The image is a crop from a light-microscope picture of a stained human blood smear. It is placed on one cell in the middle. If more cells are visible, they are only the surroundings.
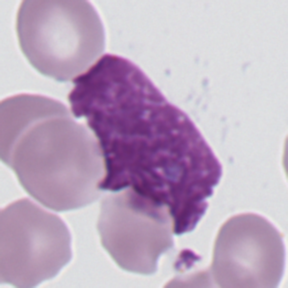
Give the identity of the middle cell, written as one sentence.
Where the crop is centred, there is a smudge cell.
